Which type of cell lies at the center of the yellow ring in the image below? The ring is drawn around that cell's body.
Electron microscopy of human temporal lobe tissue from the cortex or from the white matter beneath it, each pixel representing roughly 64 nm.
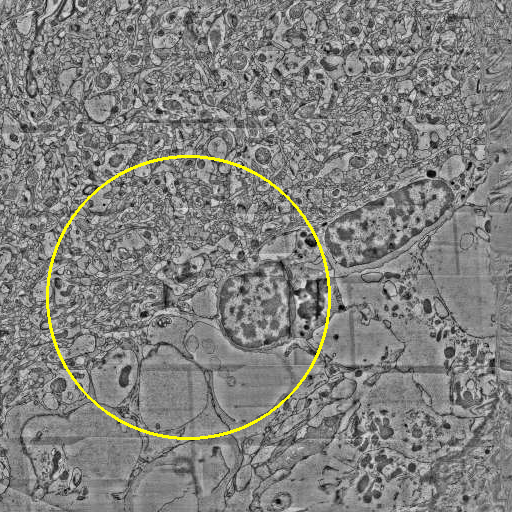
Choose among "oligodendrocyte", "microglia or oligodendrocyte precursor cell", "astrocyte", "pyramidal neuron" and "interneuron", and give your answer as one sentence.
The cell body at the center belongs to an oligodendrocyte.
